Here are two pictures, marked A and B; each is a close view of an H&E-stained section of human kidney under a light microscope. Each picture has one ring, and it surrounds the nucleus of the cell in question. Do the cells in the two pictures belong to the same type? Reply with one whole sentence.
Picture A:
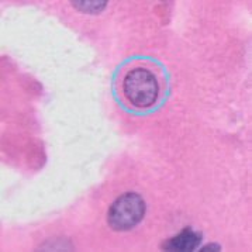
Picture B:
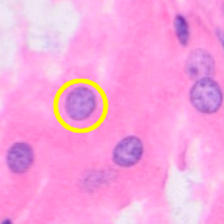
Yes, the two pictures both show proximal tubule cells.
